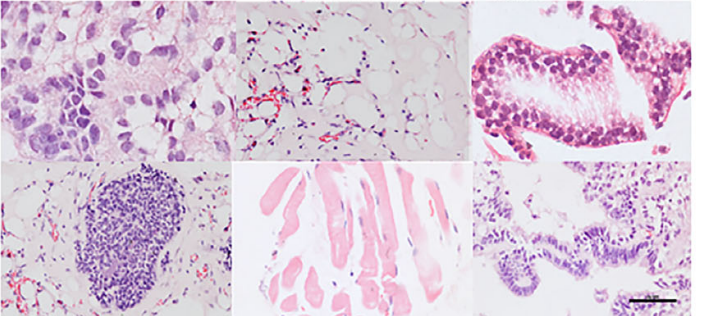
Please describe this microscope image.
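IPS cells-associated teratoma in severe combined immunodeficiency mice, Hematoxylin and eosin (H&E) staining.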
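One field holds loosely arranged cells with large, round, purple nuclei in a pale, finely fibrillar background, and another holds a dense, rounded cluster of small cells with crowded dark nuclei. A further field is a loose tissue with many clear, rounded spaces and small vessels containing red blood cells. Another field shows long, parallel, pink-staining fibre bundles with few nuclei. Two fields show epithelium: a curved tube lined by tall columnar cells with basally placed nuclei around a lumen, and folded, gland-like epithelial structures set in loose stroma.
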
